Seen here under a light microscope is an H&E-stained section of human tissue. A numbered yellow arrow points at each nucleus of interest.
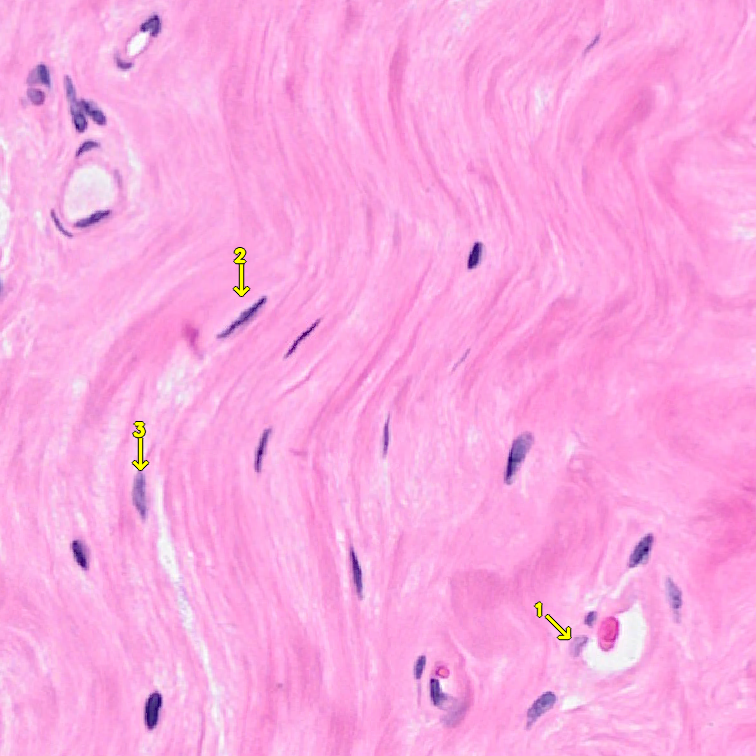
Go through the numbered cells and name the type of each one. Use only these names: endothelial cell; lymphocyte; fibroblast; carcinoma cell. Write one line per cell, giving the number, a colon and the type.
1: endothelial cell
2: fibroblast
3: fibroblast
